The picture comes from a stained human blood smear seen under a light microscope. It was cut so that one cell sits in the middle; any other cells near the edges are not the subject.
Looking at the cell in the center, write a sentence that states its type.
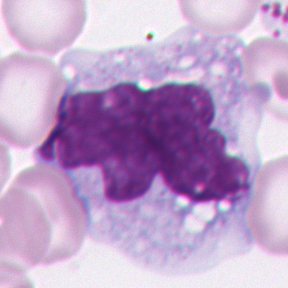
Of the cells in this crop, the central one is a monocyte.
